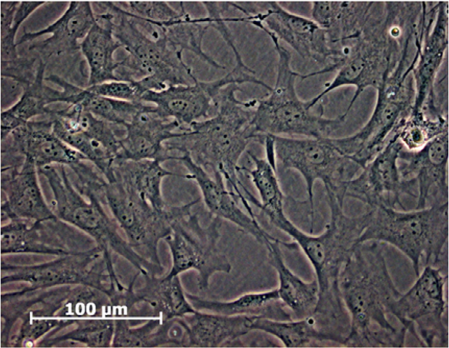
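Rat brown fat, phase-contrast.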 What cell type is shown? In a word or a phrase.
Preadipocytes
